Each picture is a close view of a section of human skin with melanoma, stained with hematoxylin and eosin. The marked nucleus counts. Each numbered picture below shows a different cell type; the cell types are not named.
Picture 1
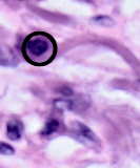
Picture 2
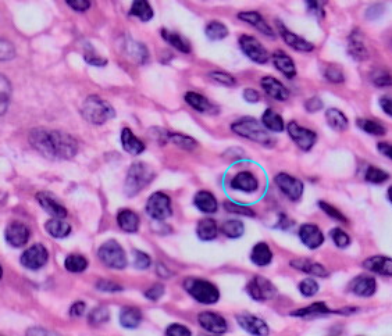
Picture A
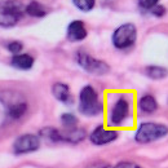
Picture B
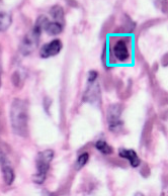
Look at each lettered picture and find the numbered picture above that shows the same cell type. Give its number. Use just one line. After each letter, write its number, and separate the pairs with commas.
A 2, B 1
